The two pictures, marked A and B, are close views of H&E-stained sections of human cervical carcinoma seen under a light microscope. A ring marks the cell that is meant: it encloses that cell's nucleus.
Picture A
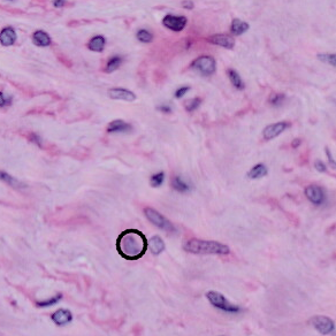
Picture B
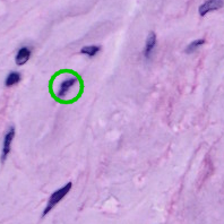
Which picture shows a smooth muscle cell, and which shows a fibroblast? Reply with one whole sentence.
Picture A is of a smooth muscle cell, and picture B is of a fibroblast.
